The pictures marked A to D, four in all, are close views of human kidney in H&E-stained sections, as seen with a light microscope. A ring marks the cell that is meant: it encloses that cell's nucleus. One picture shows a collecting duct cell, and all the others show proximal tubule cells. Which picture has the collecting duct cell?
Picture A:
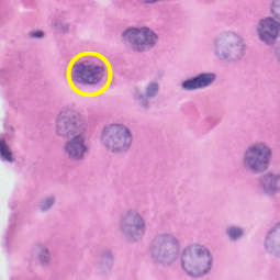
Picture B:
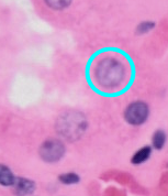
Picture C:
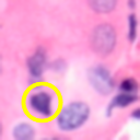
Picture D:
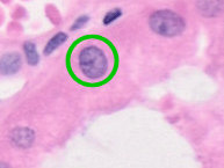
C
